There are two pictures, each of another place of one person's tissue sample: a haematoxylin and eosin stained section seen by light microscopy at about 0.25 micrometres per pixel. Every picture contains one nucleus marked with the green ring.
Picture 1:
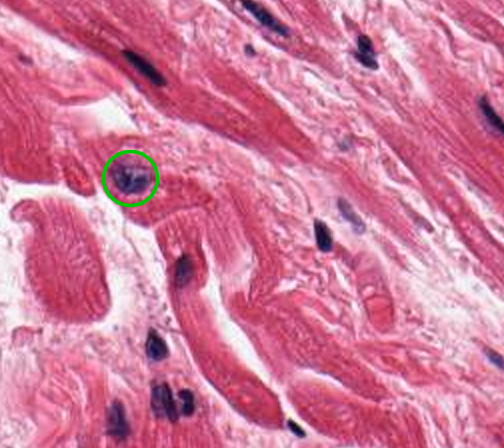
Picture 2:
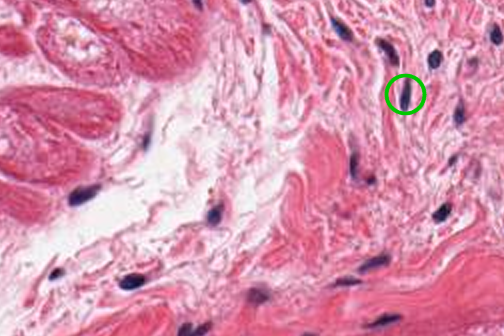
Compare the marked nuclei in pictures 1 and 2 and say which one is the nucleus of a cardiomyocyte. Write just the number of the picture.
1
